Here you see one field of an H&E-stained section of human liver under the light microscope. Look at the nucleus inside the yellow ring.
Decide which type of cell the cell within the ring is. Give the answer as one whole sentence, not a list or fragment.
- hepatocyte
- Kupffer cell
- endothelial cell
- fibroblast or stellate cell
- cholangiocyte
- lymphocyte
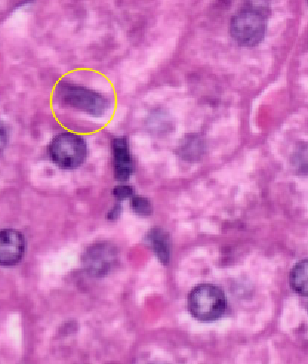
As classified here, the cell within the ring is a Kupffer cell.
